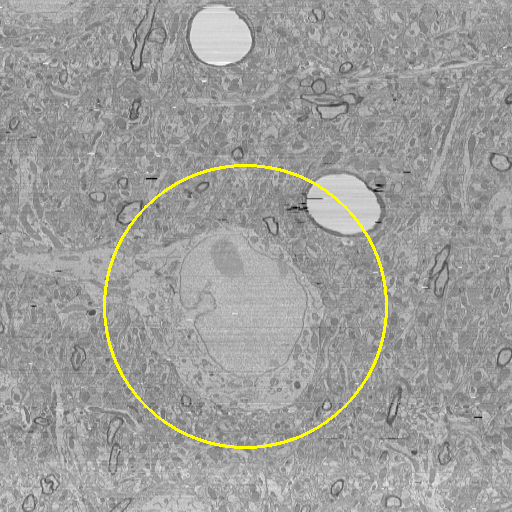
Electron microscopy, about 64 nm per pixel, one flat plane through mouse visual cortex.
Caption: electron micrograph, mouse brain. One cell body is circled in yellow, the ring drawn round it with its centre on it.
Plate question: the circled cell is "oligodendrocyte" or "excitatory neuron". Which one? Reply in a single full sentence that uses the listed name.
The yellow ring on the plate is centred on an excitatory neuron, going by the listed names.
